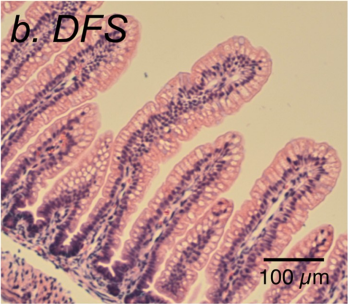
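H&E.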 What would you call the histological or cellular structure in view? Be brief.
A: Villi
